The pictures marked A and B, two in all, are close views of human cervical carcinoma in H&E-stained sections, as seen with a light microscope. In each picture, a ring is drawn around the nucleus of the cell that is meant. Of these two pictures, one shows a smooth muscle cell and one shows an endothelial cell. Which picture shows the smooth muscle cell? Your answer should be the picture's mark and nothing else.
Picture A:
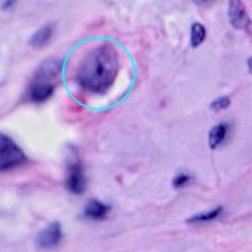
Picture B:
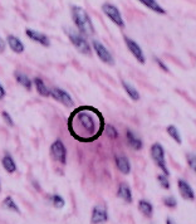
B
